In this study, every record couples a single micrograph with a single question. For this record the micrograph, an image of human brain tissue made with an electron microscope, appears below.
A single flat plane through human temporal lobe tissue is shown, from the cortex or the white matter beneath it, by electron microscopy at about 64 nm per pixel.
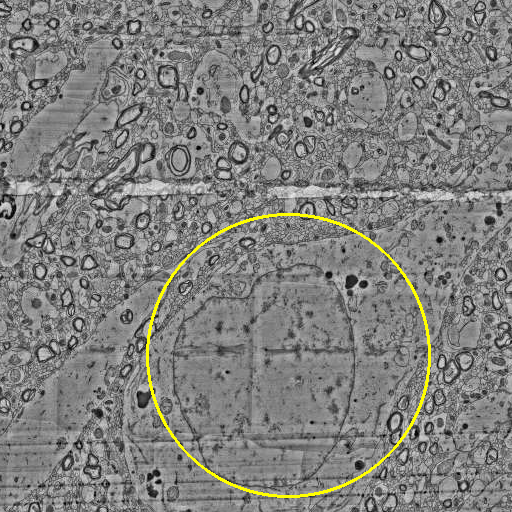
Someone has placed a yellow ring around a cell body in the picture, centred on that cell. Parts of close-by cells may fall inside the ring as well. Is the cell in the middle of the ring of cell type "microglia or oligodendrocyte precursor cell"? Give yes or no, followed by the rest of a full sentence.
No, the cell centred in the ring shown in the picture has a different cell type.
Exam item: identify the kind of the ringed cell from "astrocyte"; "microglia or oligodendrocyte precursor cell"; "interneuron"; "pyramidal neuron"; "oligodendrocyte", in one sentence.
So the cell at the centre is a pyramidal neuron.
